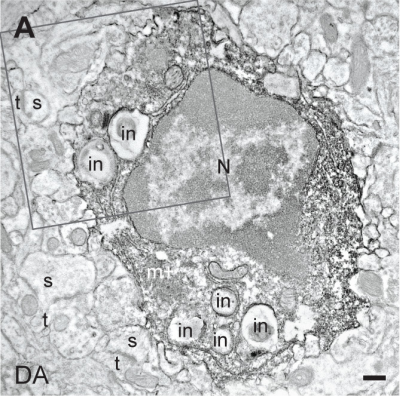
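Microglial cell body in neuropil, with a large nucleus surrounded by a dark, granular labelled cytoplasm. Dendritic spines and axon terminals surround the cell.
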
